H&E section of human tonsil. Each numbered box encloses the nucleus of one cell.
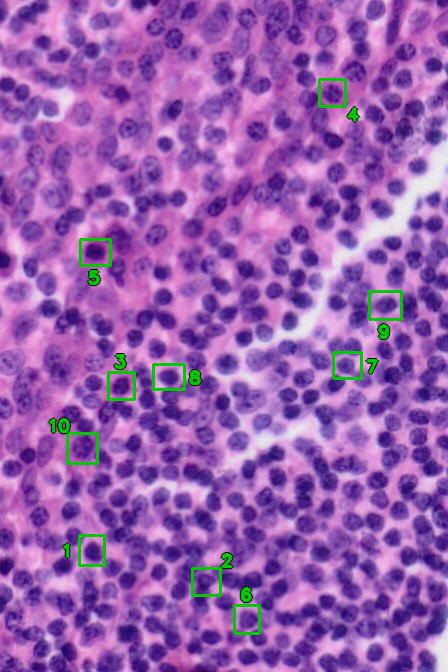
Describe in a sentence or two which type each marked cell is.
Cells 1, 2, 6, 7, 8 and 9 are small lymphocytes. Cells 3, 4, 5 and 10 are plasma cells.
